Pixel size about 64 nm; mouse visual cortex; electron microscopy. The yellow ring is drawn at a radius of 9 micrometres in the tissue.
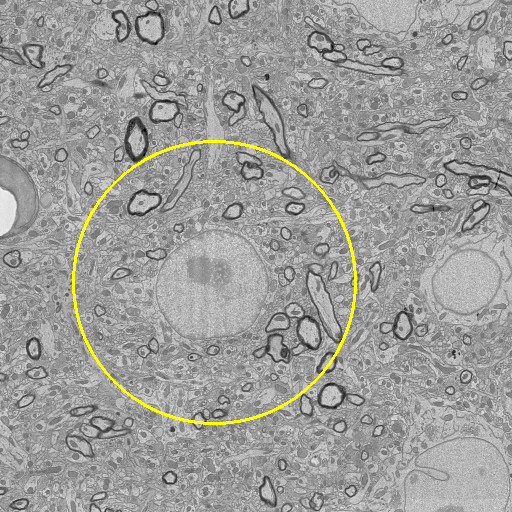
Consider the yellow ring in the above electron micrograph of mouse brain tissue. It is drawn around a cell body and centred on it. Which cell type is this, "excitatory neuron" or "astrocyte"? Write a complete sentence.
The cell in question is an astrocyte.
